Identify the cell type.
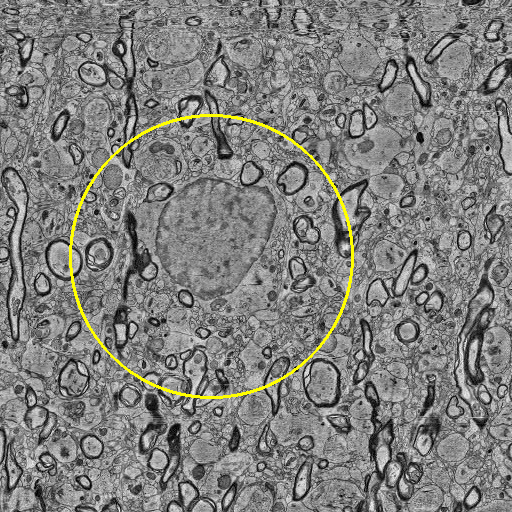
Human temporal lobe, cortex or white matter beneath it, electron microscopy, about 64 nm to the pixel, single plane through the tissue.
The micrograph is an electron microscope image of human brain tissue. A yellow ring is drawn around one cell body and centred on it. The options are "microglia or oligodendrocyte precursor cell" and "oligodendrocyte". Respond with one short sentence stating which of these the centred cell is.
The cell body in the ring belongs to an oligodendrocyte.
